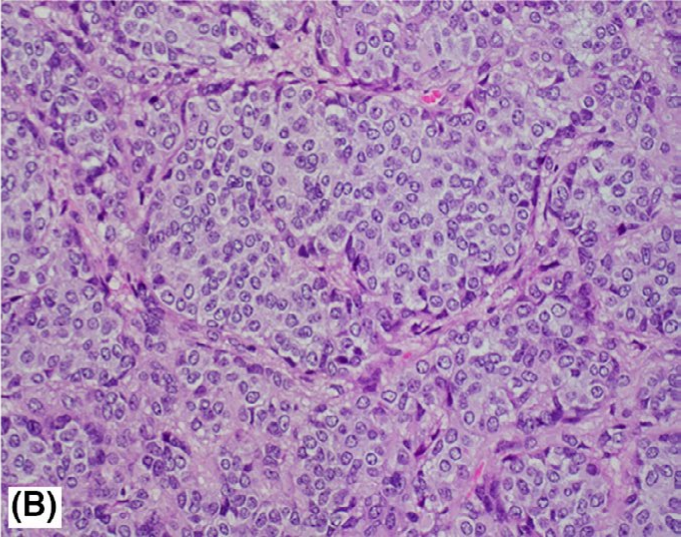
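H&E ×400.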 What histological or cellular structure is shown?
Nests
